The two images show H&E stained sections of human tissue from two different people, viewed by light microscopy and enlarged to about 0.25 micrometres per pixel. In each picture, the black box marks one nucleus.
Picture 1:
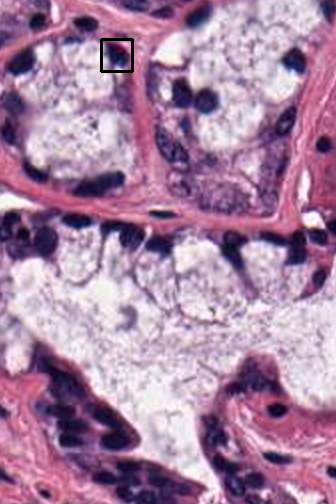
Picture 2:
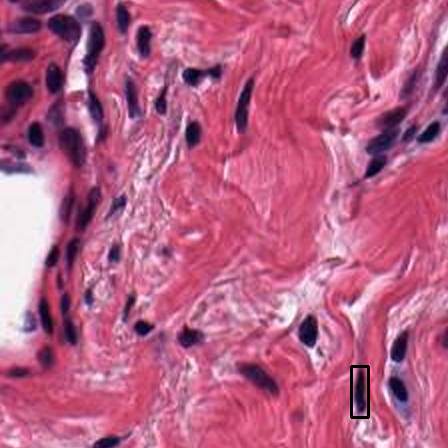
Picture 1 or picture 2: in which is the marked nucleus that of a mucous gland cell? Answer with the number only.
1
